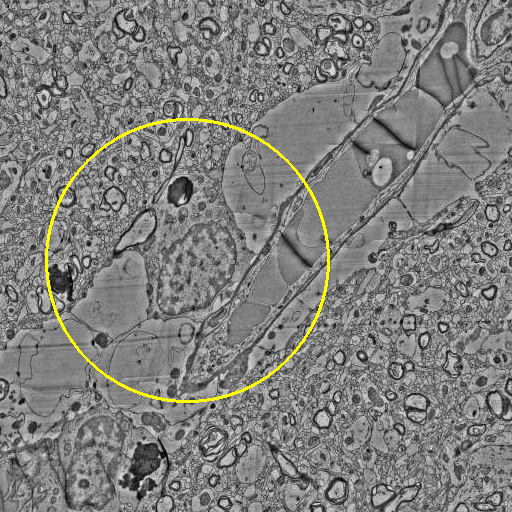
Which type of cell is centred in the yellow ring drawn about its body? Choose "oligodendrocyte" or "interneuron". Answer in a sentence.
The yellow ring surrounds the cell body of an oligodendrocyte.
